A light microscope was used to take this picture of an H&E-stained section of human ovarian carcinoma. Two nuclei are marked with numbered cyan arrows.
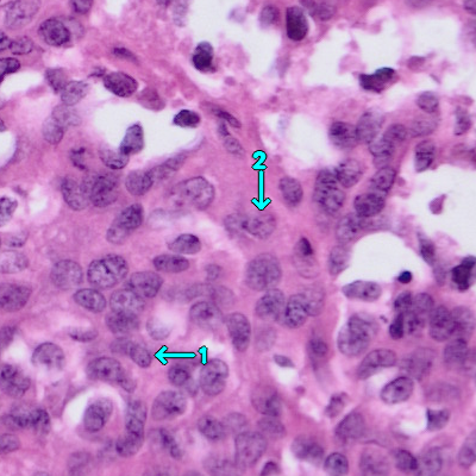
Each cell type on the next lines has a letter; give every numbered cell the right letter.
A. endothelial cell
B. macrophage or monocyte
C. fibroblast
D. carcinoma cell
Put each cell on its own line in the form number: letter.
1: B
2: D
